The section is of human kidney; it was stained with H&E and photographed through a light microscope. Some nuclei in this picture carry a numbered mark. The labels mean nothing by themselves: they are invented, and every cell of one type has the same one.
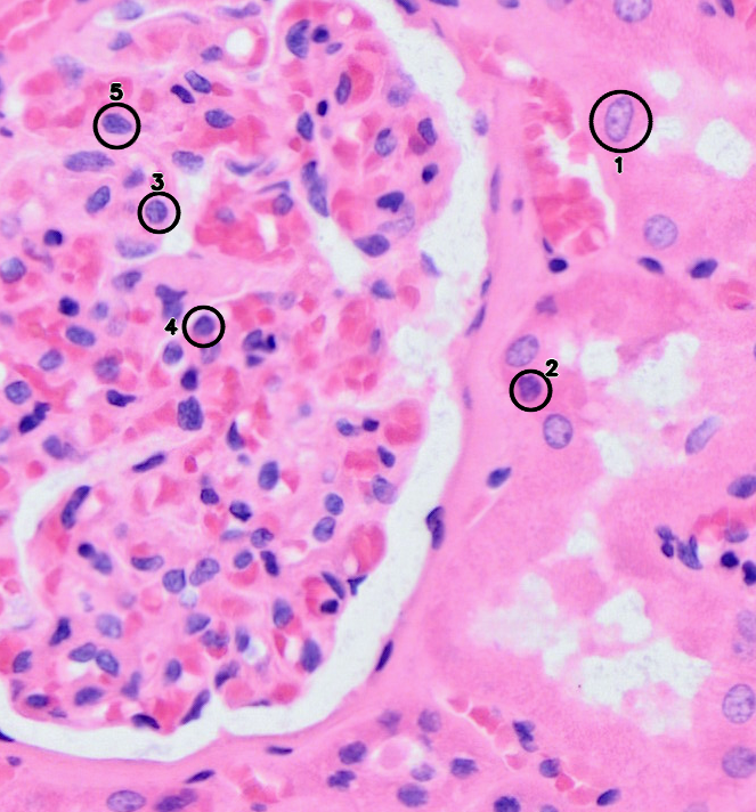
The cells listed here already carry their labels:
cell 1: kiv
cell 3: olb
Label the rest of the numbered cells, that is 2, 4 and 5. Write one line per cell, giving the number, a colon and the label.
2: kiv
4: olb
5: olb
